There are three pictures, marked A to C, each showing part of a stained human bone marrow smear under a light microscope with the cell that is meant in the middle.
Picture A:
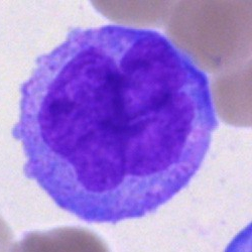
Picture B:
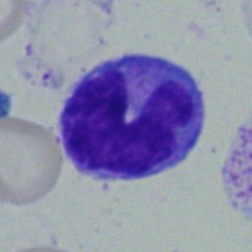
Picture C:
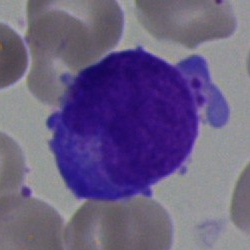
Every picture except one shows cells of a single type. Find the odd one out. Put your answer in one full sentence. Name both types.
The different one is picture C; it shows a blast, whereas all the others show monocytes.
